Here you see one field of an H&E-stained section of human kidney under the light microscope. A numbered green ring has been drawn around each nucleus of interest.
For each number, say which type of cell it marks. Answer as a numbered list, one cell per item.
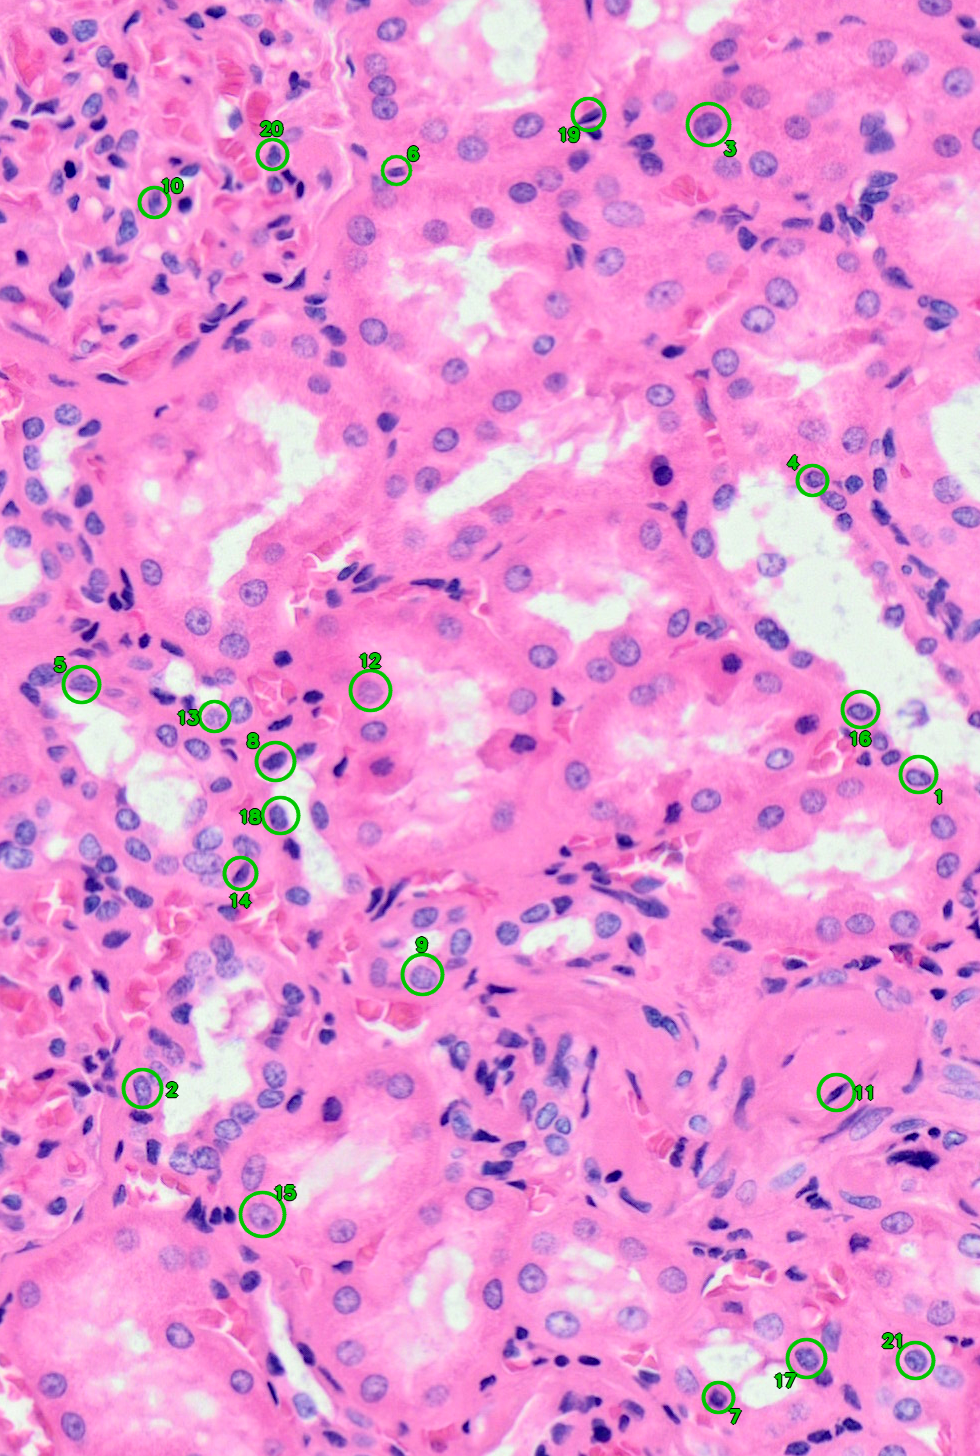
1. loop of Henle or distal tubule cell
2. collecting duct cell
3. proximal tubule cell
4. loop of Henle or distal tubule cell
5. collecting duct cell
6. endothelial cell
7. loop of Henle or distal tubule cell
8. loop of Henle or distal tubule cell
9. collecting duct cell
10. endothelial cell
11. endothelial cell
12. proximal tubule cell
13. collecting duct cell
14. collecting duct cell
15. proximal tubule cell
16. loop of Henle or distal tubule cell
17. loop of Henle or distal tubule cell
18. loop of Henle or distal tubule cell
19. endothelial cell
20. endothelial cell
21. collecting duct cell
